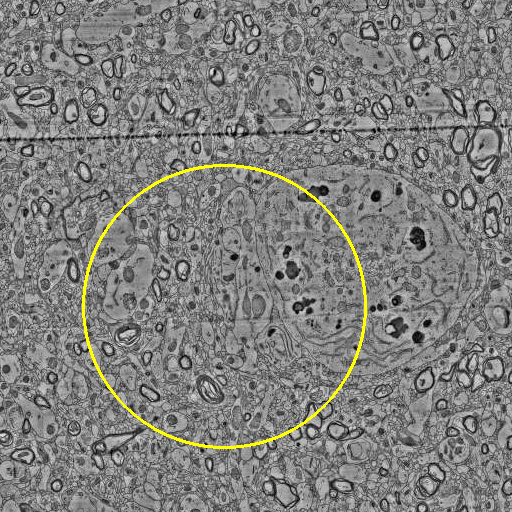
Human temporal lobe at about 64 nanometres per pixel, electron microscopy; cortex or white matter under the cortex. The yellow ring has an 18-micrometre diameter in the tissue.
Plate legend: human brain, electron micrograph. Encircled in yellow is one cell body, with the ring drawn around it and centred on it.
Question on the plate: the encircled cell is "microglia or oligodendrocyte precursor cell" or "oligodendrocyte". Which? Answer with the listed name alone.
microglia or oligodendrocyte precursor cell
